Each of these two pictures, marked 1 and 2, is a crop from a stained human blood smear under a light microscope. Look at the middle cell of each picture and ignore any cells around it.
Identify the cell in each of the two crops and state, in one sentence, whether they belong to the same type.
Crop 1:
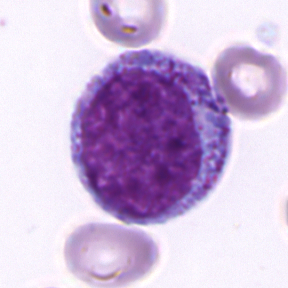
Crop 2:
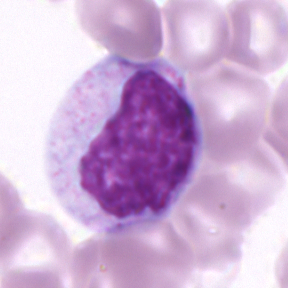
No, crop 1 captures a promyelocyte, and crop 2 captures a myelocyte.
